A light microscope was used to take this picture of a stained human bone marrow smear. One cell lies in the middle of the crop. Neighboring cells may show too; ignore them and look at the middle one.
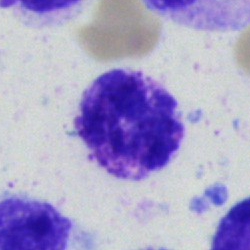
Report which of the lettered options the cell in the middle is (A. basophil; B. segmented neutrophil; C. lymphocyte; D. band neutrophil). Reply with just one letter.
A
